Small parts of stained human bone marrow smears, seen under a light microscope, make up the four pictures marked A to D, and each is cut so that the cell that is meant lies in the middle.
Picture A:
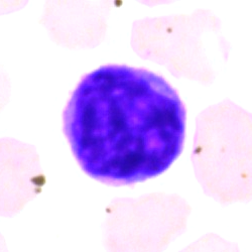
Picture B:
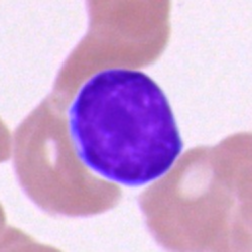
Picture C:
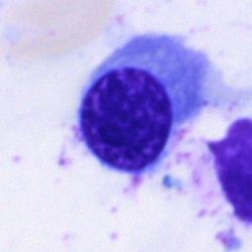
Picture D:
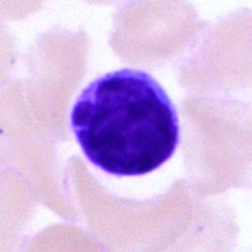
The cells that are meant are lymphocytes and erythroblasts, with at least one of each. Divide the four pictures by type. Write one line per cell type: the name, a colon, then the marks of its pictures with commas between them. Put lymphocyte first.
lymphocyte: A, B, D
erythroblast: C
